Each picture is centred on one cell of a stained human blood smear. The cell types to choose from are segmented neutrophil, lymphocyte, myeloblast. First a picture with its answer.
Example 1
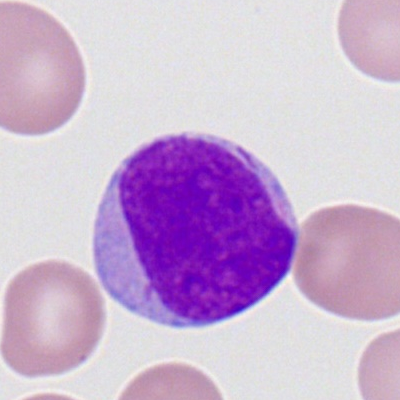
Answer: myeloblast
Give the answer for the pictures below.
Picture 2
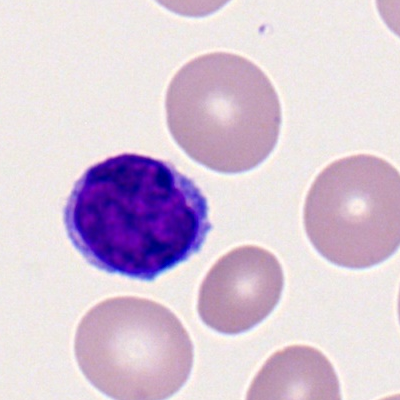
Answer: lymphocyte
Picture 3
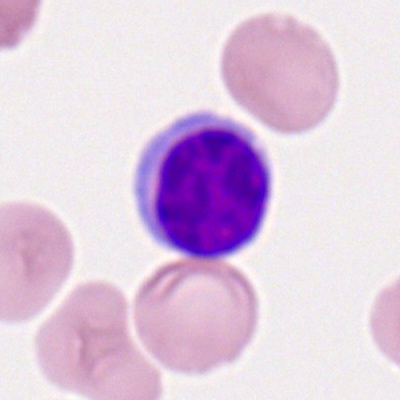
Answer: lymphocyte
